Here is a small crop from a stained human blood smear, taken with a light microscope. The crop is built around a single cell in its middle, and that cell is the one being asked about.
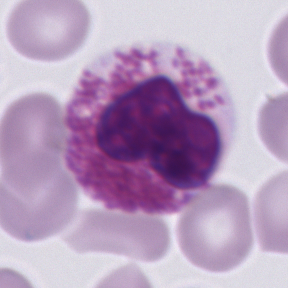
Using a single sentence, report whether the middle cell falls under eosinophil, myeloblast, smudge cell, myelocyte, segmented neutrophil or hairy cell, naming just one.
The cell positioned in the middle of the field is an eosinophil.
